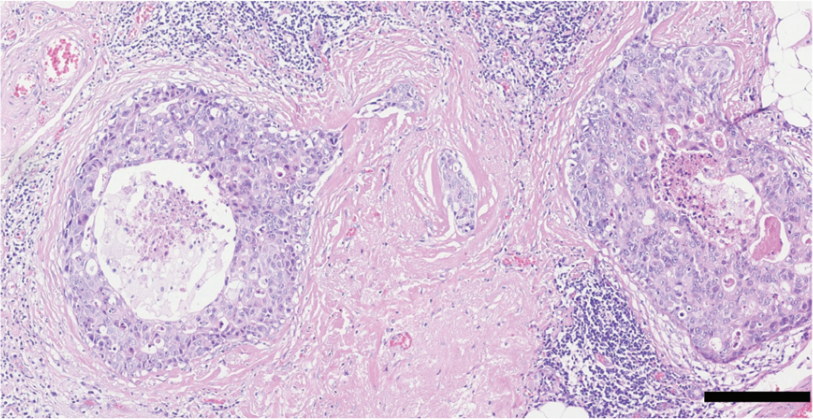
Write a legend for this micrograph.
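Breast tissue with preinvasive lesions: distended ducts are filled by solid sheets of large epithelial cells with enlarged, pleomorphic purple nuclei and pink cytoplasm. The duct on the left has a central cavity holding pale necrotic debris, and the duct on the right shows a similar central focus of debris. The ducts are each surrounded by a rim of dense pink fibrous stroma. Clusters of small dark lymphocytes lie in the stroma between the ducts, and a few fat cells are seen at the right edge.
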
